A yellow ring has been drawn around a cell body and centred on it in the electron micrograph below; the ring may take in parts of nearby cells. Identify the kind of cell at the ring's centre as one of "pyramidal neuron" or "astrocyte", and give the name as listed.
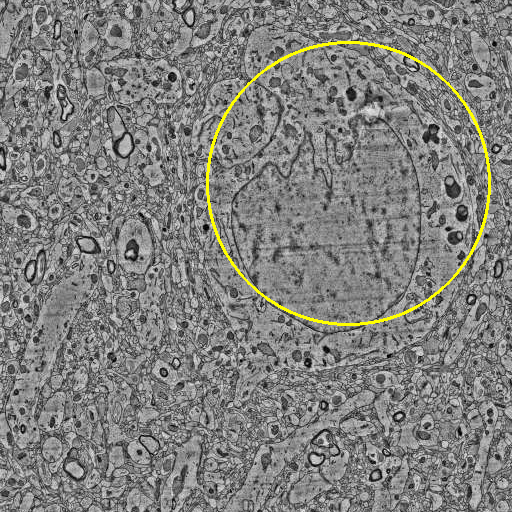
pyramidal neuron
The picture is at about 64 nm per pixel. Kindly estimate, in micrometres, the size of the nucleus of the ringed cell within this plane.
About 14 by 12 micrometers, in this plane.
